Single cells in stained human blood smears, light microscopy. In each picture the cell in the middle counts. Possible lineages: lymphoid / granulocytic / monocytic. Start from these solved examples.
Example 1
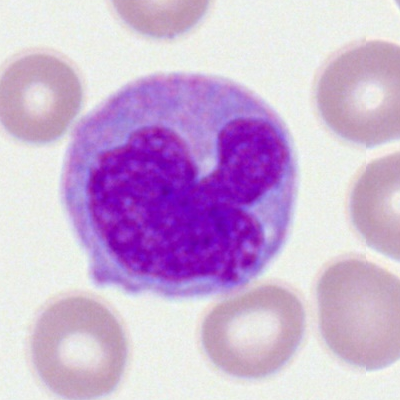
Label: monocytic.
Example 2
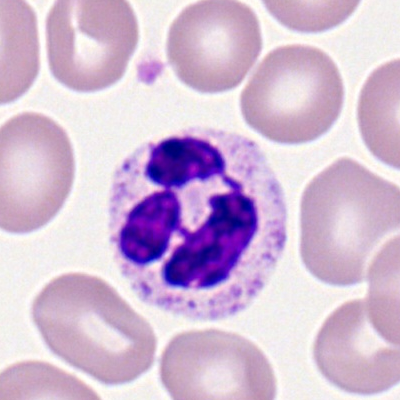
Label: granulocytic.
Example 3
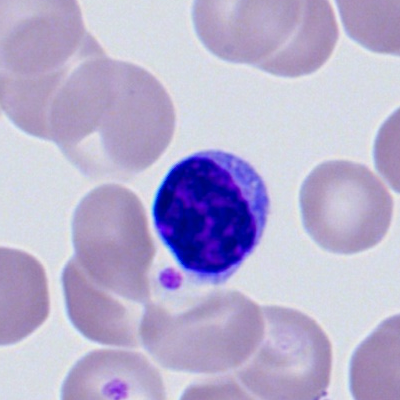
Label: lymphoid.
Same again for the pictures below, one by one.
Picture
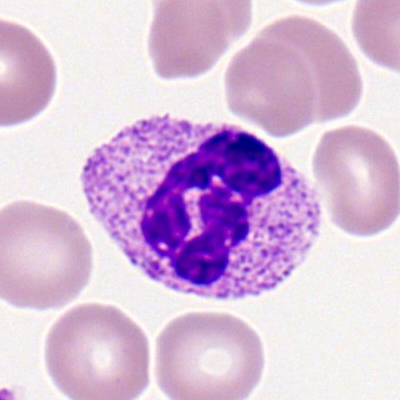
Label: granulocytic.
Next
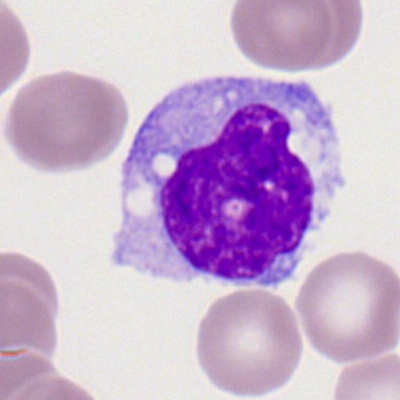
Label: monocytic.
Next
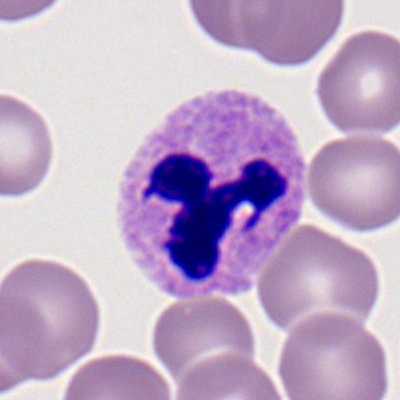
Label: granulocytic.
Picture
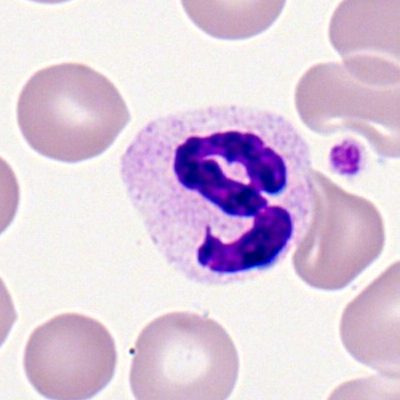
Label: granulocytic.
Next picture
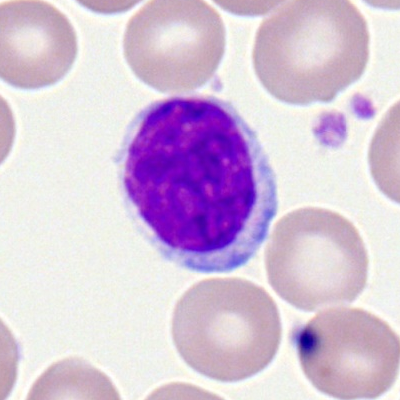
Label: lymphoid.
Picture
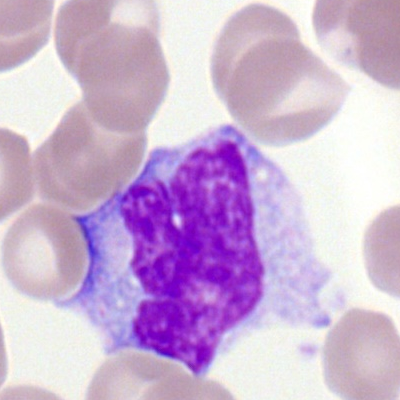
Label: monocytic.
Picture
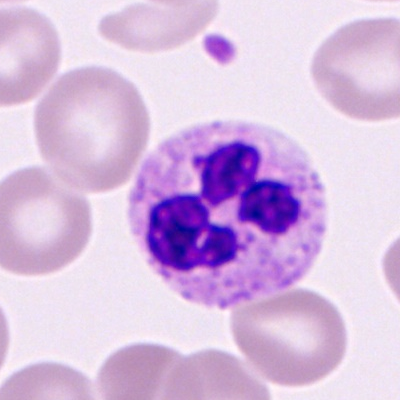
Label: granulocytic.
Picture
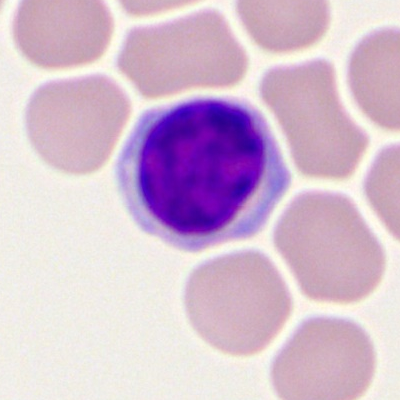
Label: lymphoid.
